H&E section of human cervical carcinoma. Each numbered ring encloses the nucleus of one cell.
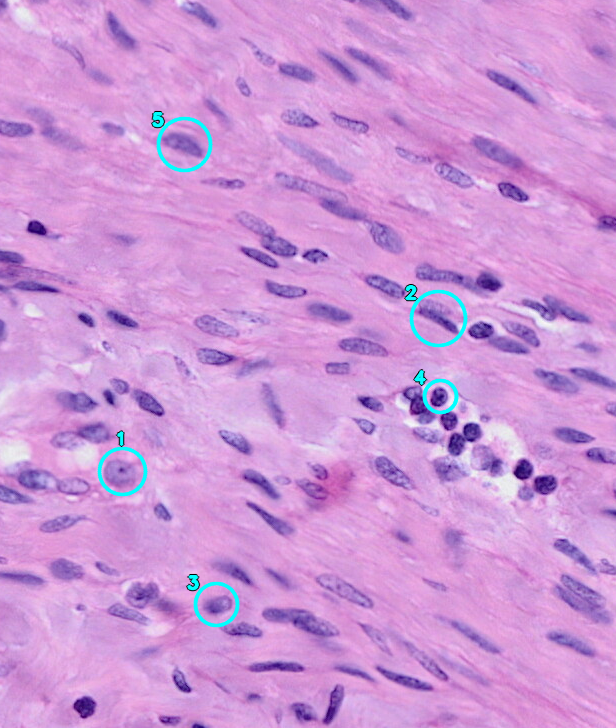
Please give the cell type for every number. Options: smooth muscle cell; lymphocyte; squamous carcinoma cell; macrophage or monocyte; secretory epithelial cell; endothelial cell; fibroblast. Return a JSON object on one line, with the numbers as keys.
{"1": "endothelial cell", "2": "fibroblast", "3": "fibroblast", "4": "lymphocyte", "5": "fibroblast"}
